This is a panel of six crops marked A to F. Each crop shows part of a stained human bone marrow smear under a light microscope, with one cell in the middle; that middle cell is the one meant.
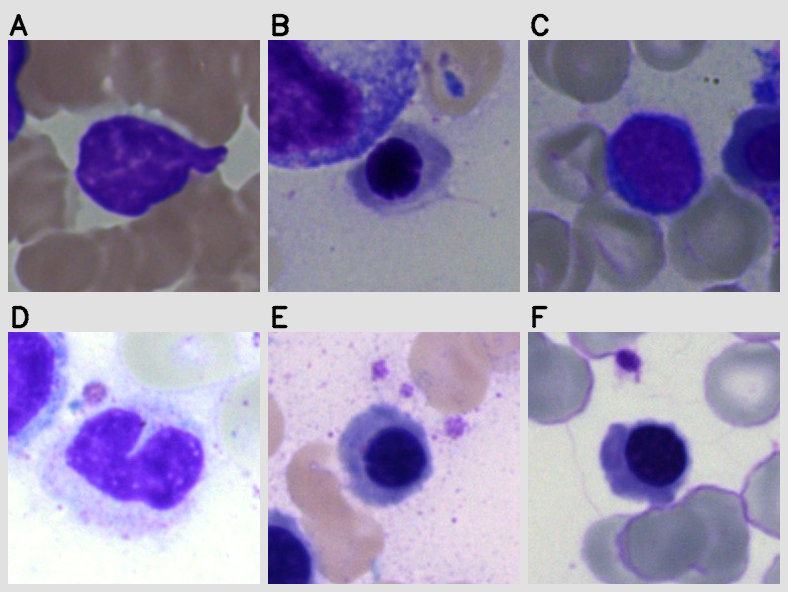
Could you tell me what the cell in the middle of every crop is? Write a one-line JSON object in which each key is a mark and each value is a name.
{"A": "lymphocyte", "B": "erythroblast", "C": "lymphocyte", "D": "band neutrophil", "E": "erythroblast", "F": "erythroblast"}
